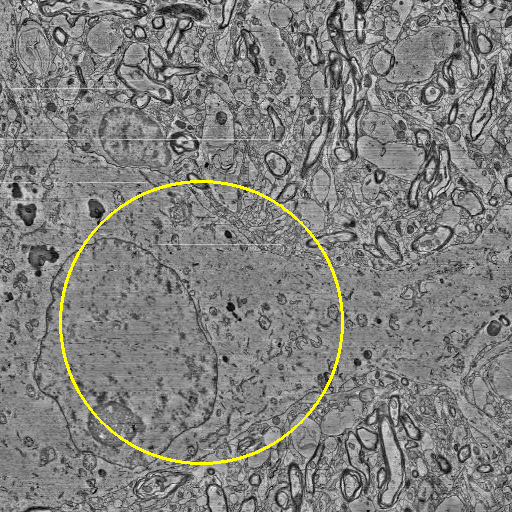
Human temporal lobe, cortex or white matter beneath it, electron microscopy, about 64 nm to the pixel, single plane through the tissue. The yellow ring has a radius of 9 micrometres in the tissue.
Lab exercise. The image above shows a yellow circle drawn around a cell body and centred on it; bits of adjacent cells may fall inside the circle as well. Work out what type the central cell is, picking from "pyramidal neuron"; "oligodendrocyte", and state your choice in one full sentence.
In the image above, the cell at the centre of the yellow circle is a pyramidal neuron.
